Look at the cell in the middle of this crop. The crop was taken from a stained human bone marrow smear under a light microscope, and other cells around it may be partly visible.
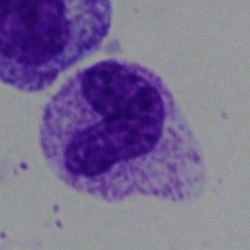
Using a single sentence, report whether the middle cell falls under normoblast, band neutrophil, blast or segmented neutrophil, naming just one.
Looking at the middle of the crop, the cell there is a band neutrophil.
